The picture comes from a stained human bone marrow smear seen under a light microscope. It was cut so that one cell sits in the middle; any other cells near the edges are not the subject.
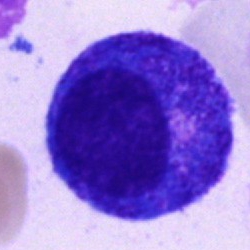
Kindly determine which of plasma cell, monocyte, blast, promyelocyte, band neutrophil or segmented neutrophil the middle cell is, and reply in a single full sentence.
Occupying the centre of the crop is a promyelocyte.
